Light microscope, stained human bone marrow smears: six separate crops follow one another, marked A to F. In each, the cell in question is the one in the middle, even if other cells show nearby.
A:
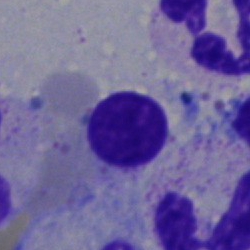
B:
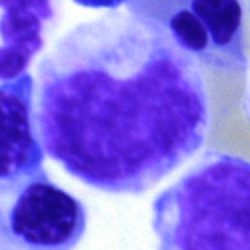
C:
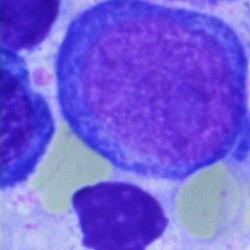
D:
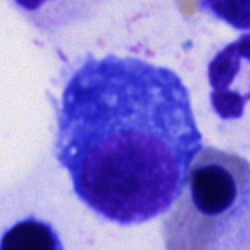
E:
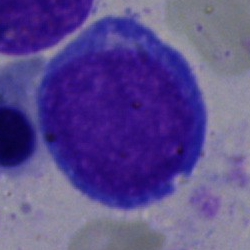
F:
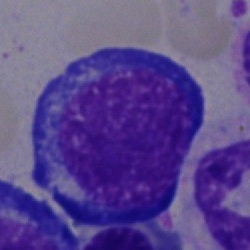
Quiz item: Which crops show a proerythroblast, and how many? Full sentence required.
Crops C, E and F contain proerythroblasts, which puts the count at three.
